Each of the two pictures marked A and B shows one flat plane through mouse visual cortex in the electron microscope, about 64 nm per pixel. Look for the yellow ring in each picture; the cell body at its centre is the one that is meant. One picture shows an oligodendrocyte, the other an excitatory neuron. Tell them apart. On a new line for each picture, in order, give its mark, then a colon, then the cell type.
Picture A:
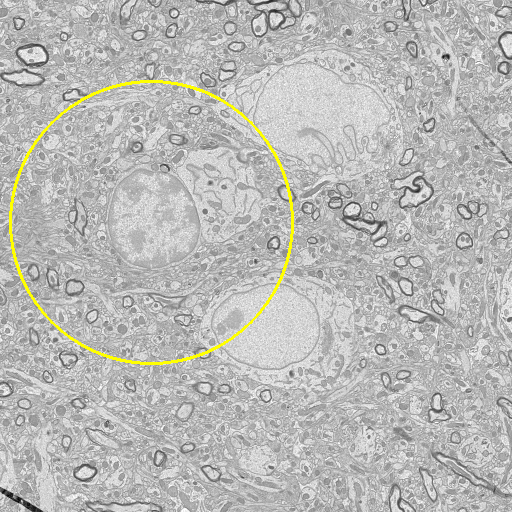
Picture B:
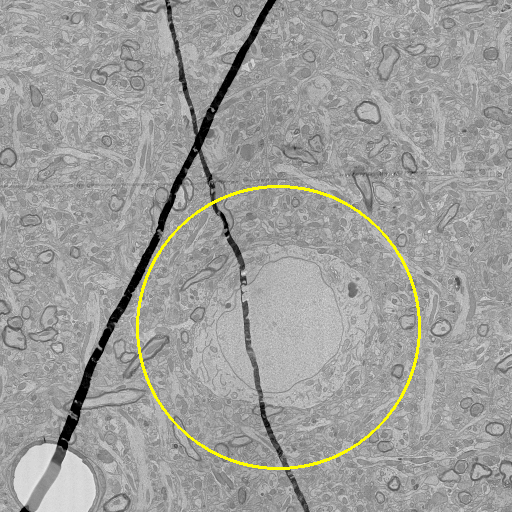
A: oligodendrocyte
B: excitatory neuron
